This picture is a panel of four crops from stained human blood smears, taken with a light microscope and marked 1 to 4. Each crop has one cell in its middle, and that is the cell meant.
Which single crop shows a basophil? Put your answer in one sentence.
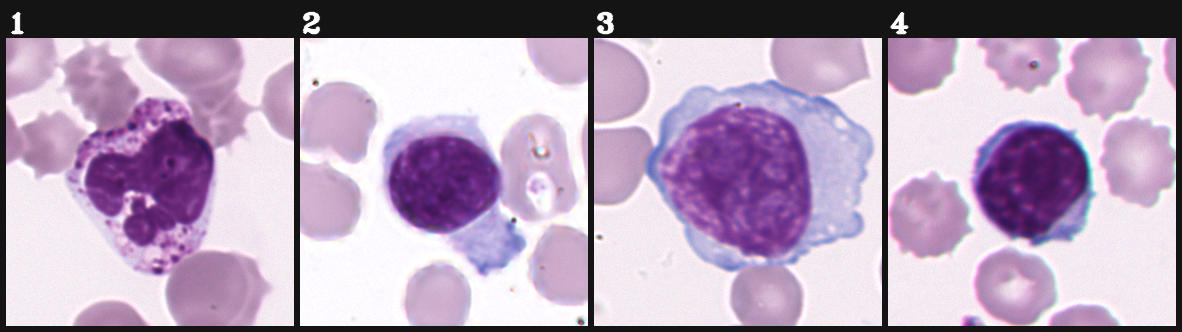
Among all the crops given here, the one with a basophil is crop 1.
